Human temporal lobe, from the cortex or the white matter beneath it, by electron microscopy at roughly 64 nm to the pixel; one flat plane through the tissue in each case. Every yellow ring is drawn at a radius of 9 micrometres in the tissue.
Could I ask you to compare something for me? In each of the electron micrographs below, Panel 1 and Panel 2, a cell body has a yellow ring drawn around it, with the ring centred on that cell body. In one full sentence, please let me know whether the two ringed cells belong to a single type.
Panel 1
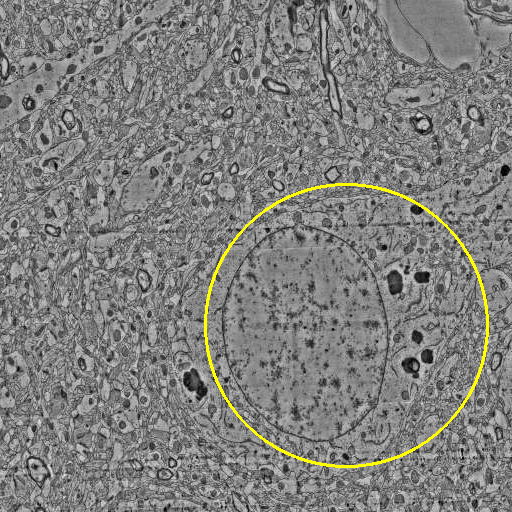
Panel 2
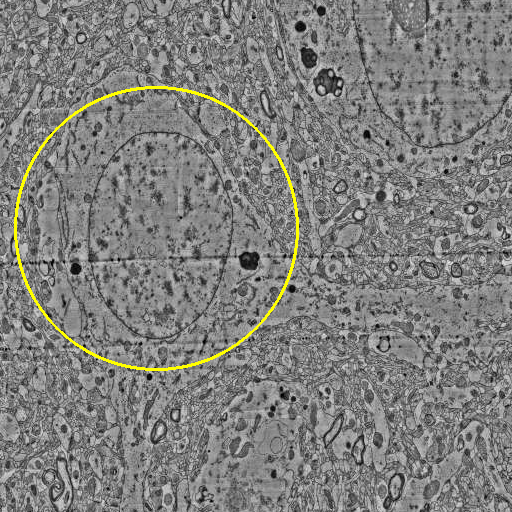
Yes, the two cells at the centres of the rings are of one type.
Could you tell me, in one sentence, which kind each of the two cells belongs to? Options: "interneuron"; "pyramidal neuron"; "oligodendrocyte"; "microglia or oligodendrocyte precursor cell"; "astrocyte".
Both rings mark a pyramidal neuron, one in each picture.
